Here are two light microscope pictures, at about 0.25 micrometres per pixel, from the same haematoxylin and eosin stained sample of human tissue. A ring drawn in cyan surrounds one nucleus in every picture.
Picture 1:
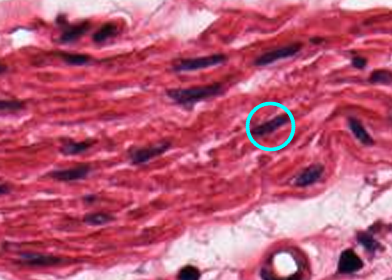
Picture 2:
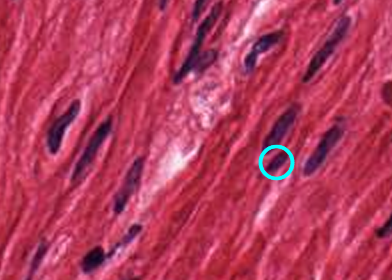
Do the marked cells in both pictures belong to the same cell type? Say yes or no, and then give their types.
Yes, both are smooth muscle cells.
